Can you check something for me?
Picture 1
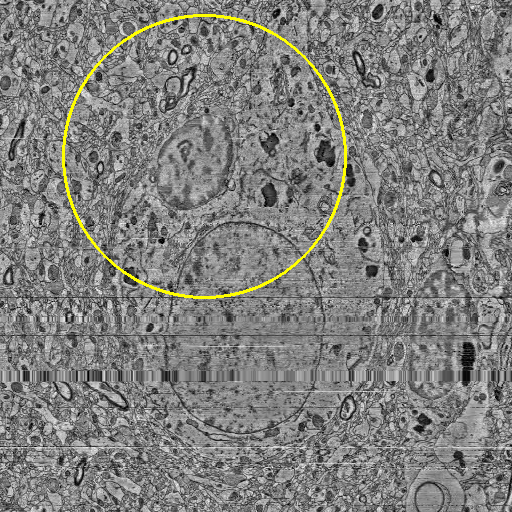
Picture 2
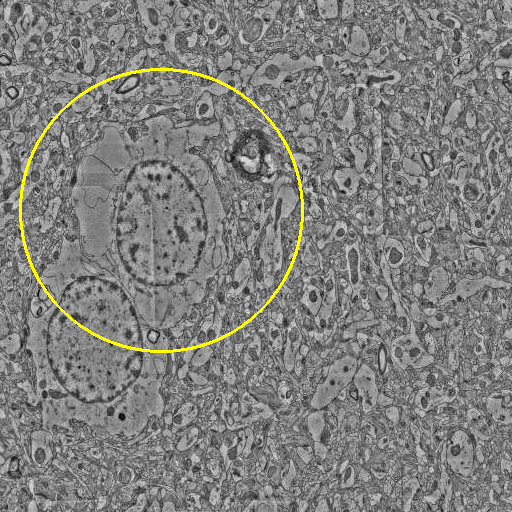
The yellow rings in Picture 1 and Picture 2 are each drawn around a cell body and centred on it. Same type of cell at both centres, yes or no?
no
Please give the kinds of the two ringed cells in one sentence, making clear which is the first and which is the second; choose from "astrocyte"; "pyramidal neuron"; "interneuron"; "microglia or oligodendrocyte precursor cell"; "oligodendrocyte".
In the second picture the ringed cell is an astrocyte; in the first it is an oligodendrocyte.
